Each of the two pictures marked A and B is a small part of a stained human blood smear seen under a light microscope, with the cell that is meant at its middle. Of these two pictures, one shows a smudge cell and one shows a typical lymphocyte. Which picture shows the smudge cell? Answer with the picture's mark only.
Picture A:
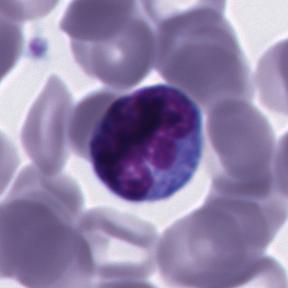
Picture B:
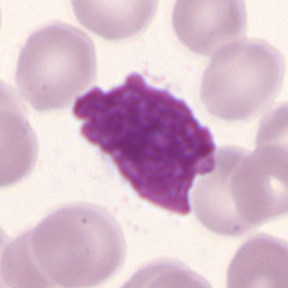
B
